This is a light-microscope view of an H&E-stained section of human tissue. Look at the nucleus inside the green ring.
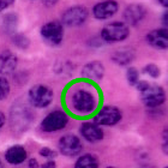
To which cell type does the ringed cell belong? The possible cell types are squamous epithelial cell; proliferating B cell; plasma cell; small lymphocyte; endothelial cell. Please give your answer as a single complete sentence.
So far as cell type goes, the ringed cell is a plasma cell.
